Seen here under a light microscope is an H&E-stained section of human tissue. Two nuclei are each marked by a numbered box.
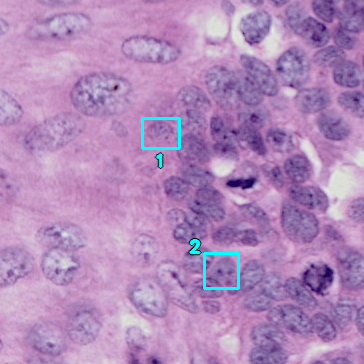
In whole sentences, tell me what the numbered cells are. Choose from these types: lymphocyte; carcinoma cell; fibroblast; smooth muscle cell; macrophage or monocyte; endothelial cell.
Cell 1 is a fibroblast and cell 2 is a carcinoma cell.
